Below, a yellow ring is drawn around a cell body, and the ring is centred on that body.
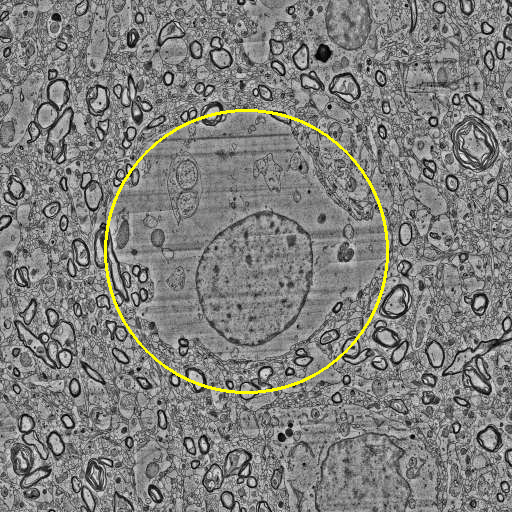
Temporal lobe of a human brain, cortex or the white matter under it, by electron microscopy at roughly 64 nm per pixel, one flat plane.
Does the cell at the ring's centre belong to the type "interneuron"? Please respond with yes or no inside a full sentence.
No, the centred cell inside the ring shown in the picture is of a different type.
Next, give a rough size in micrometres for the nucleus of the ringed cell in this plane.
In this plane, the nucleus is roughly 9 by 7 micrometres.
